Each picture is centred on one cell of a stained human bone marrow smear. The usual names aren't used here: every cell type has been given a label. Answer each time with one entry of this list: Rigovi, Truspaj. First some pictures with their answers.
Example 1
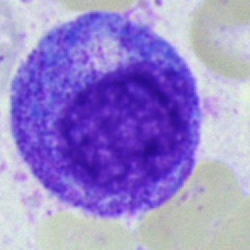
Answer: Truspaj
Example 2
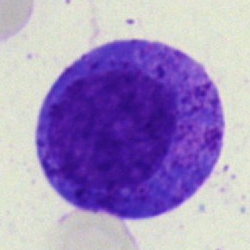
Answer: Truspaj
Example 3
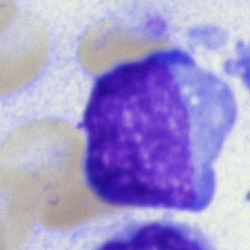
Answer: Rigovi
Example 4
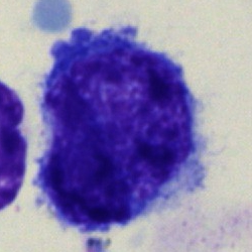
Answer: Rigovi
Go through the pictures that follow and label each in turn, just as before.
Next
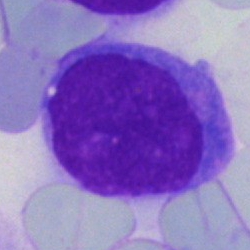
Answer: Rigovi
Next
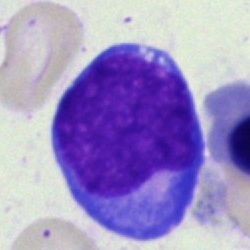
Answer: Rigovi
